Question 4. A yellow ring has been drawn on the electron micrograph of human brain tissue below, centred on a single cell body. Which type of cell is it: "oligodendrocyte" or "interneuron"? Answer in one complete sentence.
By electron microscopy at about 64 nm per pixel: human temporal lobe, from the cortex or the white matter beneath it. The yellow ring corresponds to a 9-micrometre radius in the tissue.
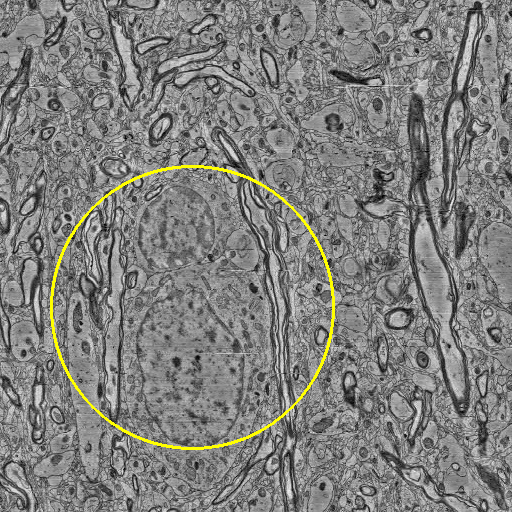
This cell body belongs to an interneuron.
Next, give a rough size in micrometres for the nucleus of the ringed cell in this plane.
About 10 by 7 micrometres in this plane.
